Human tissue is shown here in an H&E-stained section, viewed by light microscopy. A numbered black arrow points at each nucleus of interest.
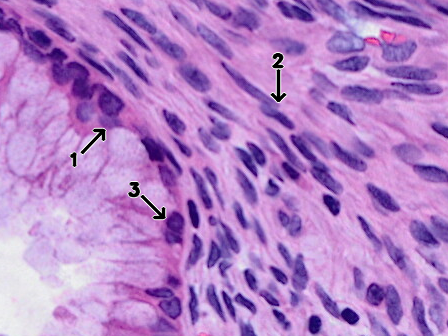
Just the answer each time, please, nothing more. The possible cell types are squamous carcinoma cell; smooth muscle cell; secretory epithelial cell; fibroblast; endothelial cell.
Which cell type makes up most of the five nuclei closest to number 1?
secretory epithelial cell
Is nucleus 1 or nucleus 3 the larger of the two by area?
3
